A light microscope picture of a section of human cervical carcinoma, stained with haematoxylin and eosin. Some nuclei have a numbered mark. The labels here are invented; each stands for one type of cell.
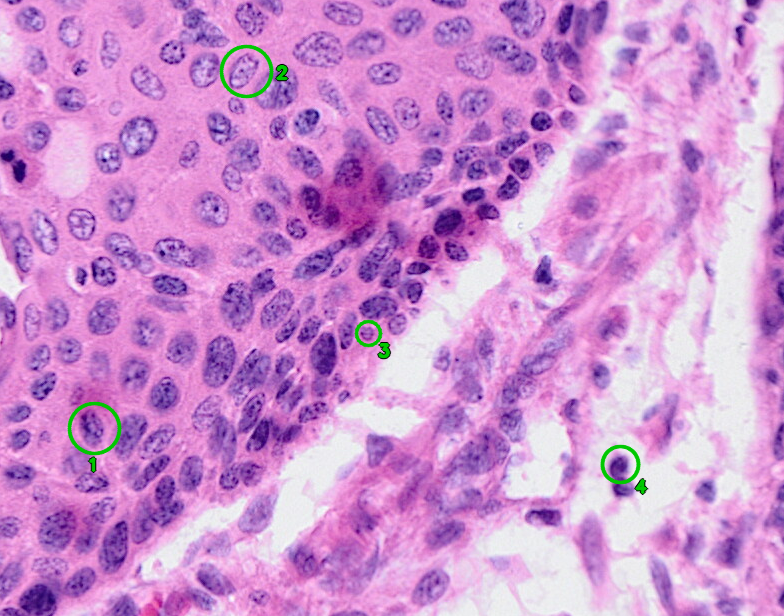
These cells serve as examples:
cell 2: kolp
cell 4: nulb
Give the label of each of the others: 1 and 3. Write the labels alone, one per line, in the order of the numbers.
kolp
kolp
